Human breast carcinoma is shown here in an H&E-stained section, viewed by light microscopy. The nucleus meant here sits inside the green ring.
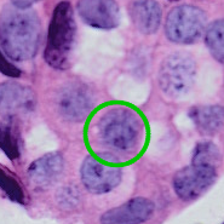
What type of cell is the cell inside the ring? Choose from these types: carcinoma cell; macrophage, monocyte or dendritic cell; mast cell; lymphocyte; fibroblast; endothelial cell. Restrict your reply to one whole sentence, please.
Labelled by cell type, the cell inside the ring is a carcinoma cell.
